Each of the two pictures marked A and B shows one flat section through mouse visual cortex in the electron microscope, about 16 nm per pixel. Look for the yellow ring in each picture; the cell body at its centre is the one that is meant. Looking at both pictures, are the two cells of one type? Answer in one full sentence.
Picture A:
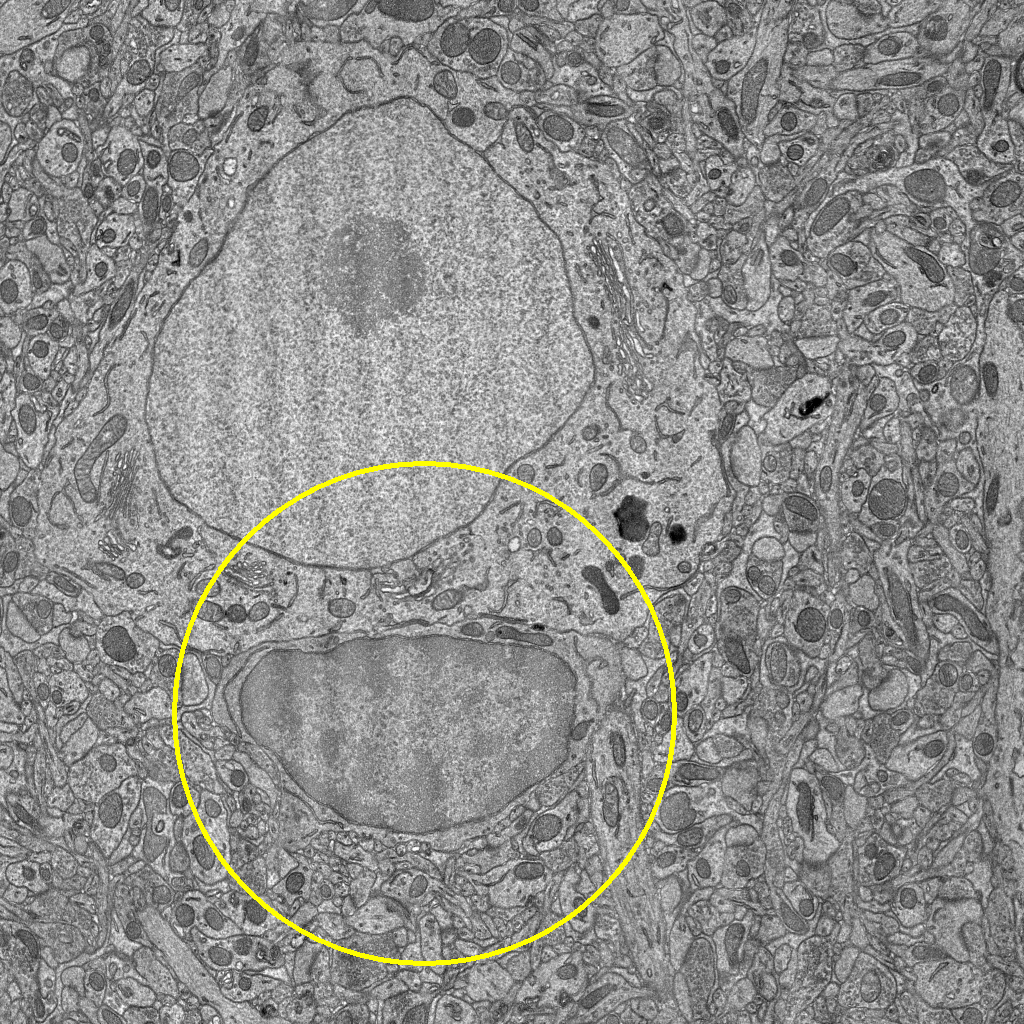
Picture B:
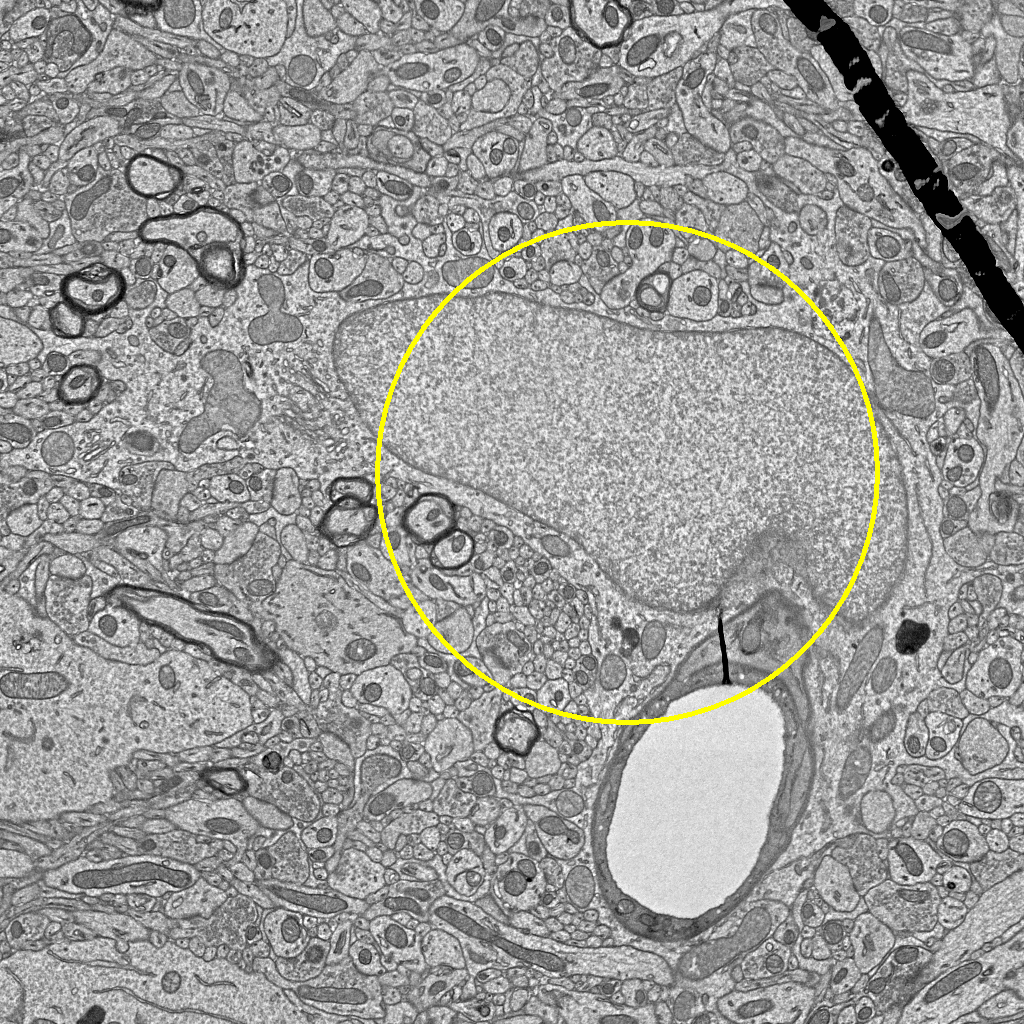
No, the types are not the same, since picture A shows a microglial cell and picture B an astrocyte.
